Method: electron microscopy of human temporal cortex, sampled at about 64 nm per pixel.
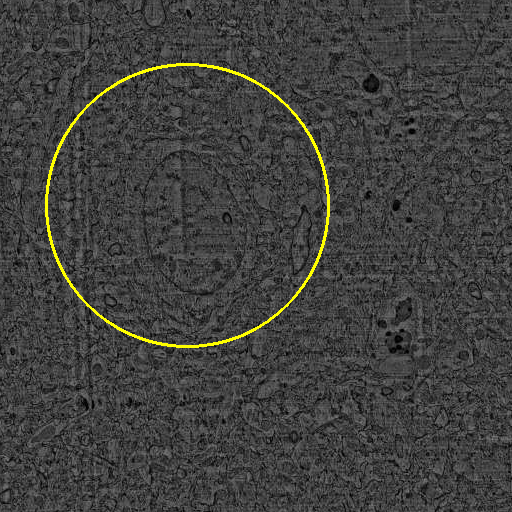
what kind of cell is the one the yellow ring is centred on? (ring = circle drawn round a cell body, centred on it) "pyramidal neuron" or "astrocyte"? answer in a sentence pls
The ring is drawn around a pyramidal neuron.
